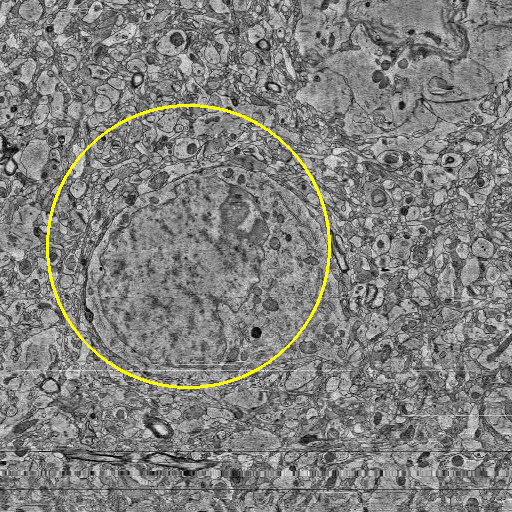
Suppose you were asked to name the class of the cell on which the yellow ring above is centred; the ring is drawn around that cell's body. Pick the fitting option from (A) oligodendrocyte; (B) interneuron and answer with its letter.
B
